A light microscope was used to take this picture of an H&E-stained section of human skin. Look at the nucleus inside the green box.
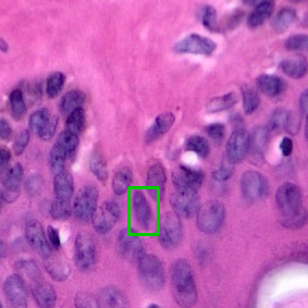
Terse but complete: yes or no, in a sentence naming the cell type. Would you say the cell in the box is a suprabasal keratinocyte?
No, in this section the cell in the box is a basal keratinocyte and not a suprabasal keratinocyte.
